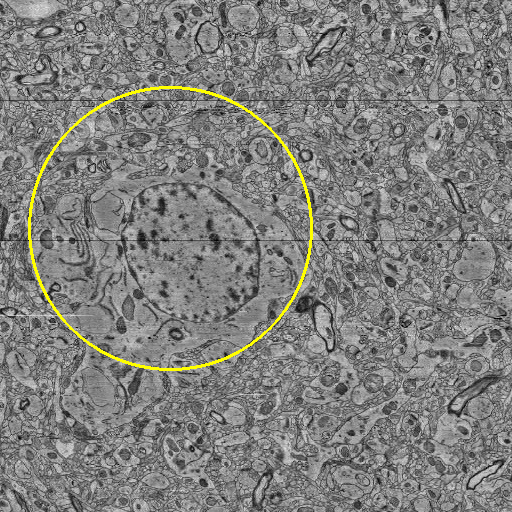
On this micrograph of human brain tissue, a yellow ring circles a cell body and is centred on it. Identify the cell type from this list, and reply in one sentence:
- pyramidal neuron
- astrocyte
The cell at the centre is an astrocyte.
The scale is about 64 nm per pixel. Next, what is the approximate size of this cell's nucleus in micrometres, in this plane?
About 10 micrometres by about 9 micrometres in this plane.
